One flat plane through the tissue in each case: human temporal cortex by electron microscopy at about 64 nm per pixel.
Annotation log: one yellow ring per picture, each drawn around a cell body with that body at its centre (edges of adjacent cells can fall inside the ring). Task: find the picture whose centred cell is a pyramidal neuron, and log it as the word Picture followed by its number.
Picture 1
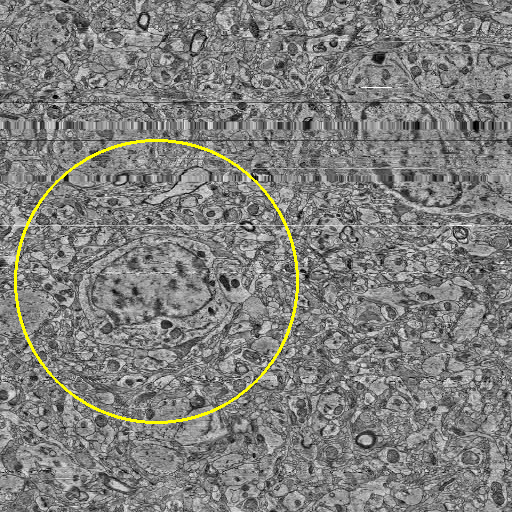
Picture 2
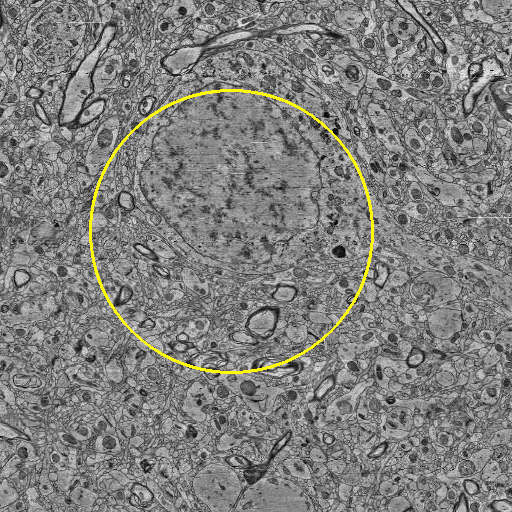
Picture 2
